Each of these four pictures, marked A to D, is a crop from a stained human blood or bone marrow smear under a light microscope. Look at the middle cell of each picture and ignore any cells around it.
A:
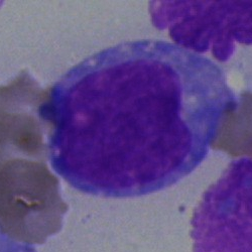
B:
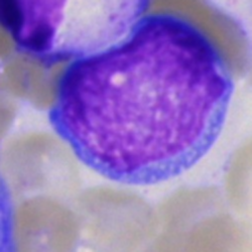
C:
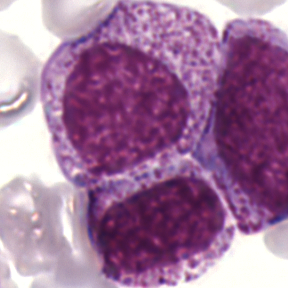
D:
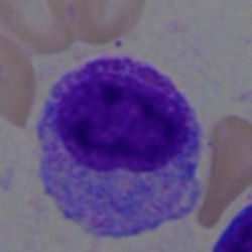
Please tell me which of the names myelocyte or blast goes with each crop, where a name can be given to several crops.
A: blast
B: blast
C: myelocyte
D: myelocyte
